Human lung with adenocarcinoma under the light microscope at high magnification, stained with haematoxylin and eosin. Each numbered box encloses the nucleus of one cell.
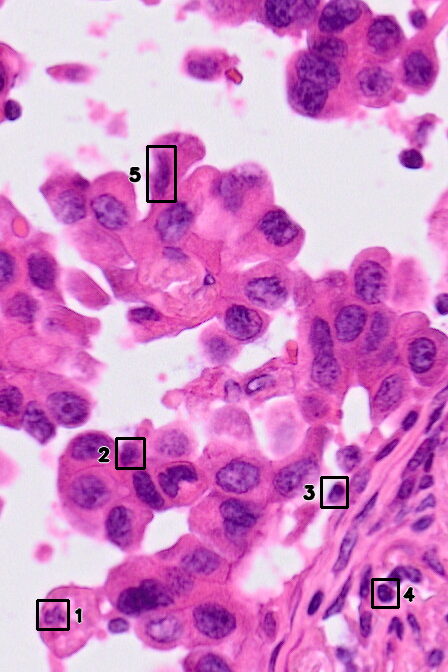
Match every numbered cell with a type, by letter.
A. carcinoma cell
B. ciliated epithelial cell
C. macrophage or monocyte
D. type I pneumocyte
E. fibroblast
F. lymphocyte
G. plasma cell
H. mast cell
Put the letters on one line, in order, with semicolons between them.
C; A; F; F; A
